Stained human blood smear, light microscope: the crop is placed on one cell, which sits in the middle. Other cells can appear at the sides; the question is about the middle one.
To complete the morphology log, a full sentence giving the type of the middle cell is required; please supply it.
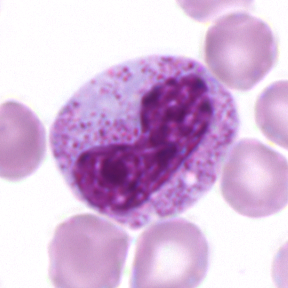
The cell at the centre of the field is a band neutrophil.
